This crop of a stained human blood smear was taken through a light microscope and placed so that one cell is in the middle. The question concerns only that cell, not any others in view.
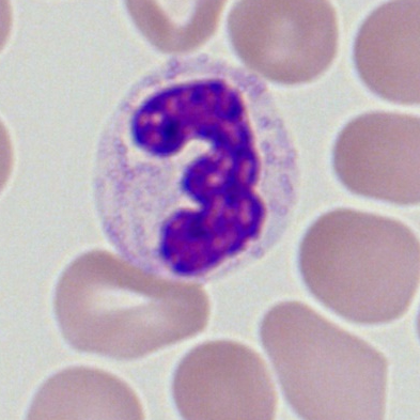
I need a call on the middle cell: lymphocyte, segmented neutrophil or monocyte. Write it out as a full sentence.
The cell in the middle of this crop is a segmented neutrophil.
